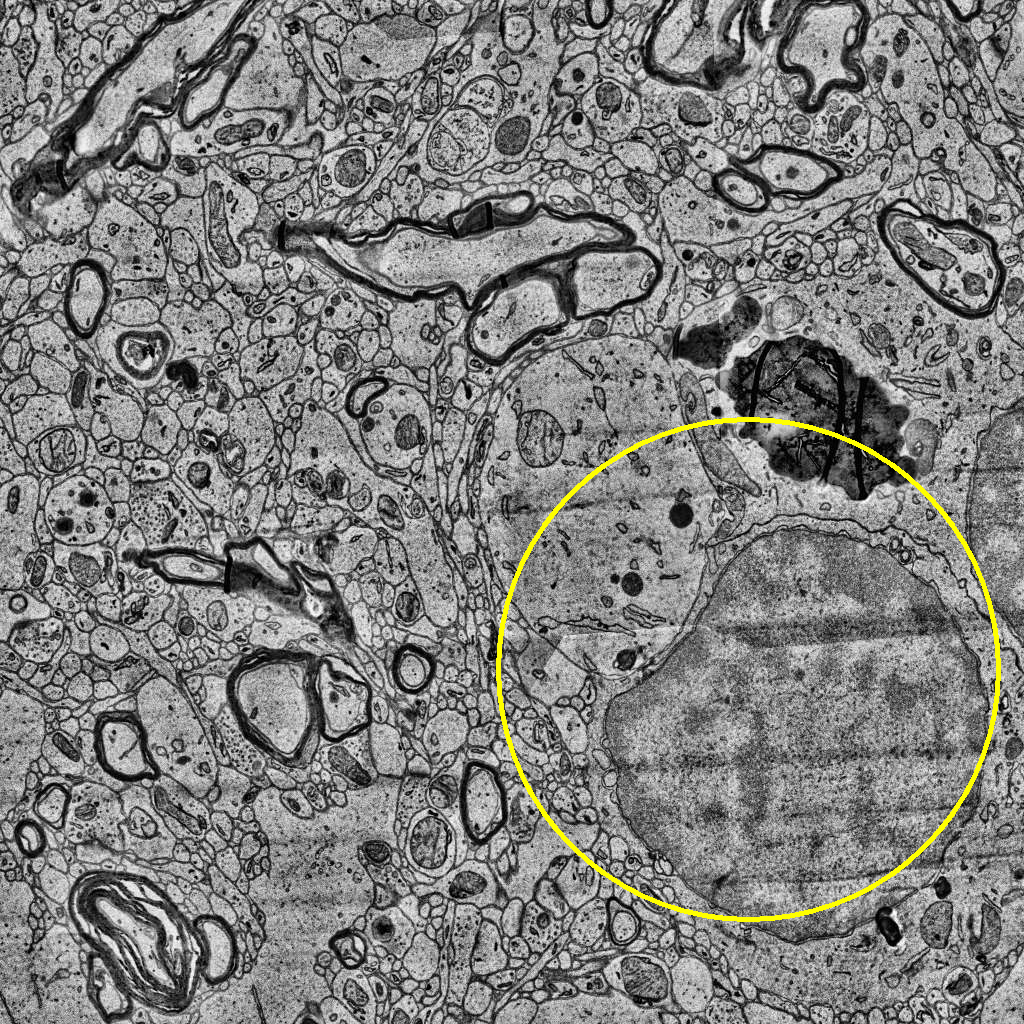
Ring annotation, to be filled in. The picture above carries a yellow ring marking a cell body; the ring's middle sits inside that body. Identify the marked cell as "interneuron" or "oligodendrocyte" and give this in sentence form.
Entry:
The cell at the middle of the ring is an oligodendrocyte.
